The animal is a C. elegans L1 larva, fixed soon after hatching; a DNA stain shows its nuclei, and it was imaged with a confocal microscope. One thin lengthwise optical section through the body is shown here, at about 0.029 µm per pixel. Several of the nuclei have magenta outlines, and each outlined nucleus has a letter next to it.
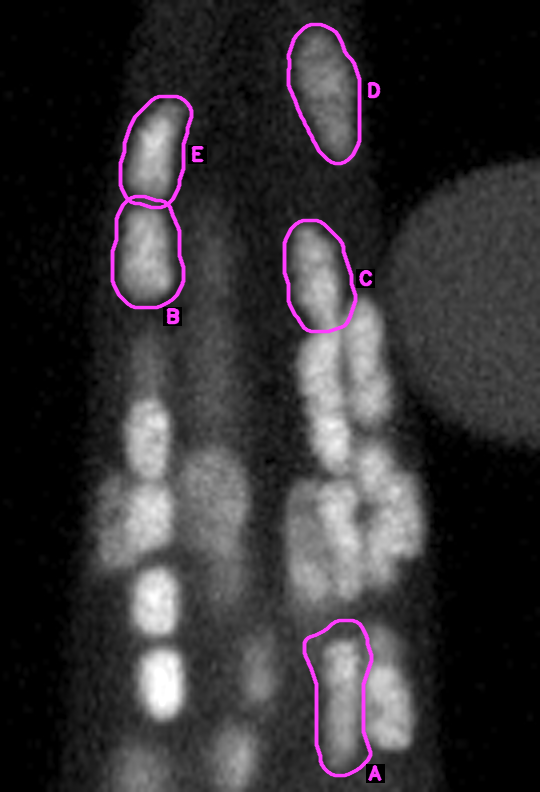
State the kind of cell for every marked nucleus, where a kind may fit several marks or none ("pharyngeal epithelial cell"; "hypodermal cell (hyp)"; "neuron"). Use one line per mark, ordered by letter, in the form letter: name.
A: pharyngeal epithelial cell
B: hypodermal cell (hyp)
C: pharyngeal epithelial cell
D: hypodermal cell (hyp)
E: hypodermal cell (hyp)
